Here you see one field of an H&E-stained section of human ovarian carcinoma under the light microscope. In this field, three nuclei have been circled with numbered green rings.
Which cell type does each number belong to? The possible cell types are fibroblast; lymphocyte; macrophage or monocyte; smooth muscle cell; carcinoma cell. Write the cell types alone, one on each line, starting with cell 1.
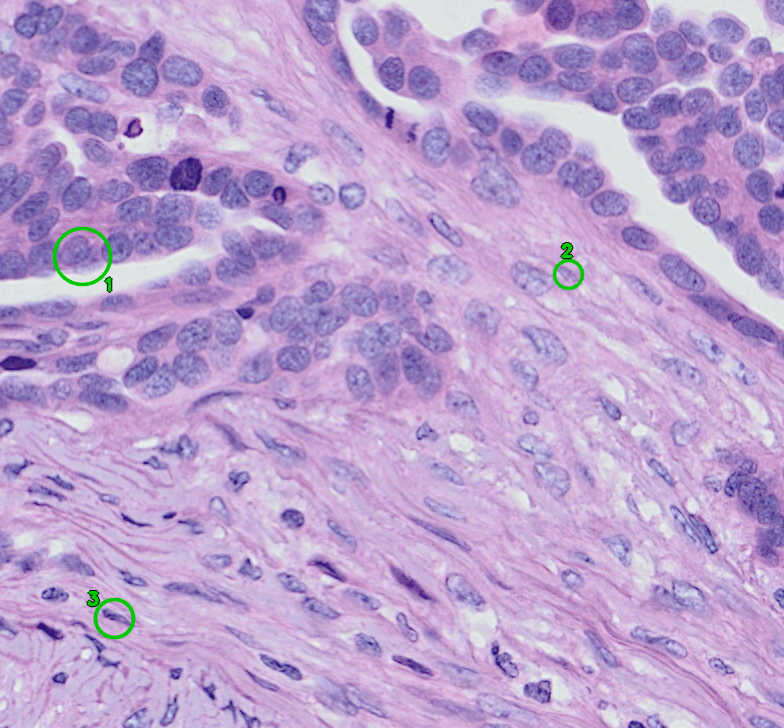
carcinoma cell
fibroblast
fibroblast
